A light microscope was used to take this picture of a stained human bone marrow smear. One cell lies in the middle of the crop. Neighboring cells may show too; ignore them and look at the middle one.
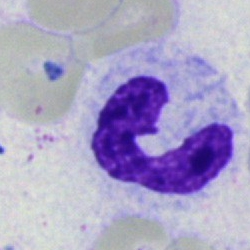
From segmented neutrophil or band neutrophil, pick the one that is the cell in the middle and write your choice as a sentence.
In the middle of this smear crop is a band neutrophil.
